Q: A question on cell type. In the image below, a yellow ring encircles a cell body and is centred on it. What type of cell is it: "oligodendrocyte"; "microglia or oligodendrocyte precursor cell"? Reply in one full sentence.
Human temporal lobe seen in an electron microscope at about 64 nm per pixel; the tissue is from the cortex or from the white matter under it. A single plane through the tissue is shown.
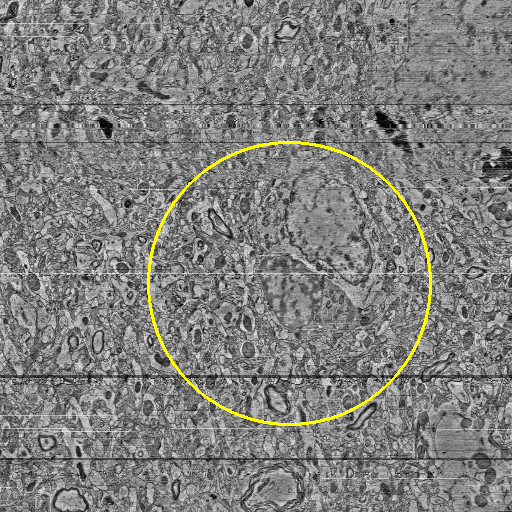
It is an oligodendrocyte whose cell body sits at the centre of the yellow ring in the image.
